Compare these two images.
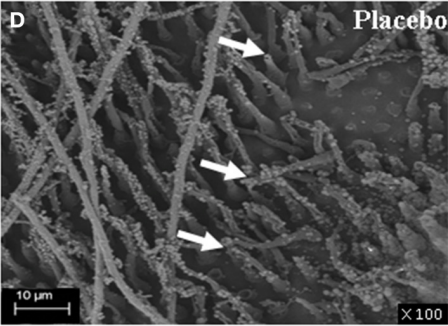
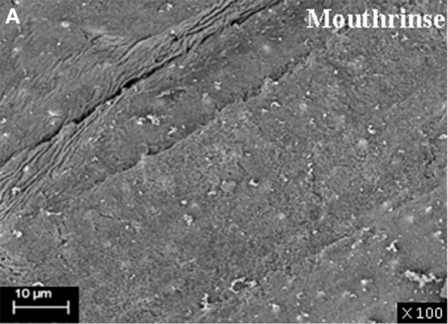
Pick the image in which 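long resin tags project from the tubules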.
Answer: The first image.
